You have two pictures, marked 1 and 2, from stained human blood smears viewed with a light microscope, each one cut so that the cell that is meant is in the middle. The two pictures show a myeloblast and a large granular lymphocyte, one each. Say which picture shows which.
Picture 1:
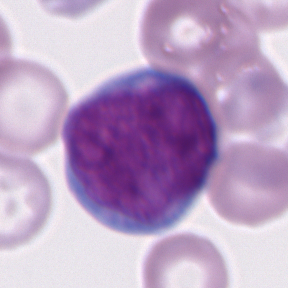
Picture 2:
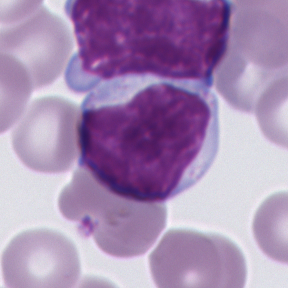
1: myeloblast
2: large granular lymphocyte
